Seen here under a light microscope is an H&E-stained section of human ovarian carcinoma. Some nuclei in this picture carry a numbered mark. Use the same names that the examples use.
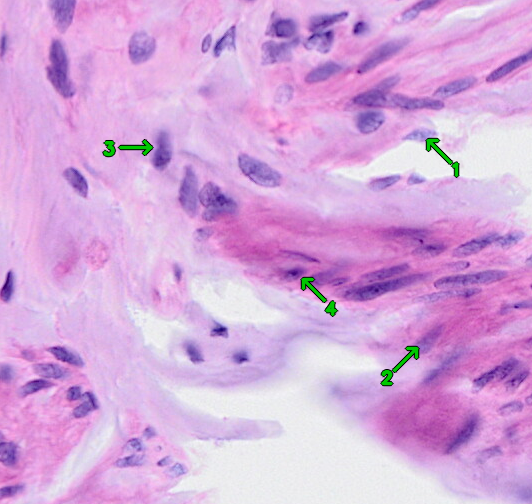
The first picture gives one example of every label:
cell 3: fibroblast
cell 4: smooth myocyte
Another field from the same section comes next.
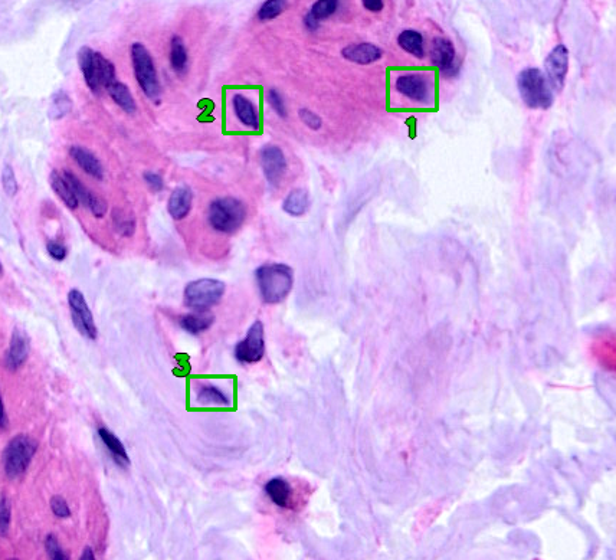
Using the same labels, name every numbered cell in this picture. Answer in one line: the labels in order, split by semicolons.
smooth myocyte; smooth myocyte; fibroblast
